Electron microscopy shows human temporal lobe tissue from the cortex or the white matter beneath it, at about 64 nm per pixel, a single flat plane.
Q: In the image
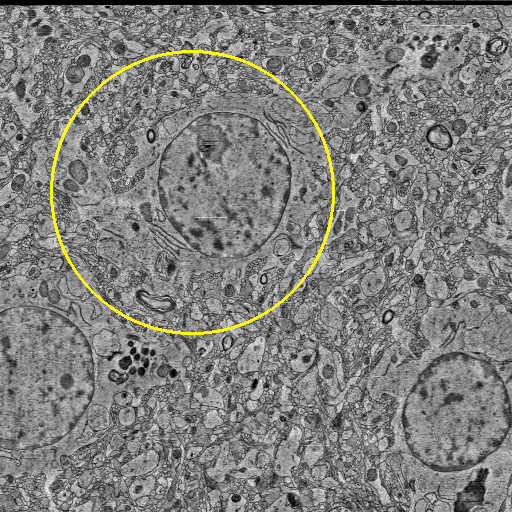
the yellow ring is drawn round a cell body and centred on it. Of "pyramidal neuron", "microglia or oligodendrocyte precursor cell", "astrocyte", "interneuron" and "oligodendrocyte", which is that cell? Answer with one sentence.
The cell centred in the ring is an astrocyte.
